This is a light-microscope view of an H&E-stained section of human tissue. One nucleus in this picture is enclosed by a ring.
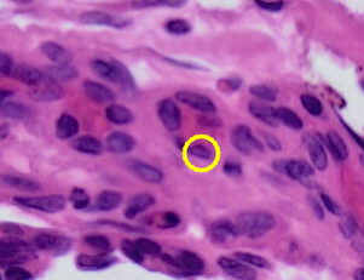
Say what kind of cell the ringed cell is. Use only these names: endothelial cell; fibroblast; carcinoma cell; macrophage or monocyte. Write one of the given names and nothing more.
endothelial cell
